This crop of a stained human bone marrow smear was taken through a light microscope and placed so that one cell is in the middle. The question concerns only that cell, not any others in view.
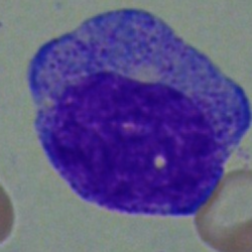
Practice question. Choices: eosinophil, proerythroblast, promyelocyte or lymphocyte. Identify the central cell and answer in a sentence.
The target cell in the middle of the crop is a promyelocyte.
